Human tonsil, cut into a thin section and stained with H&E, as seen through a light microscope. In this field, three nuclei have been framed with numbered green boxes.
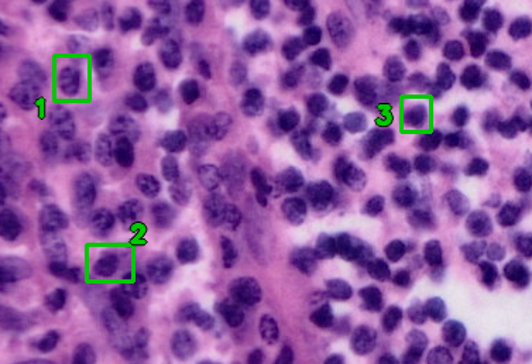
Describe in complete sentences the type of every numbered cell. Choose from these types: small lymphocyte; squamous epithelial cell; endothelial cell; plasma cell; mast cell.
Cell 1 is a plasma cell, cell 2 is a plasma cell and cell 3 is a small lymphocyte.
